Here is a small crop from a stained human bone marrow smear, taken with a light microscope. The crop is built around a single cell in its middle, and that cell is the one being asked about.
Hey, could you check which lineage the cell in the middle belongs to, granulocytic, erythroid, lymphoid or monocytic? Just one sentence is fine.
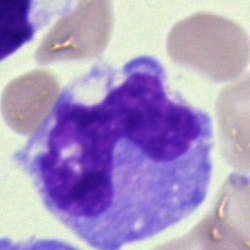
Of the possible lineages, the central cell belongs to the monocytic lineage.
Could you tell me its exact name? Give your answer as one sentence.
The identification for the central cell is a monocyte.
